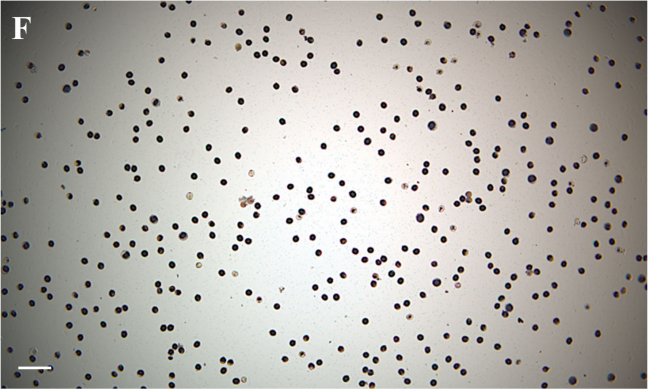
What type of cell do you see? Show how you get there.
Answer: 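Pollen. Numerous small, round, separate grains are spread across the field. Most grains are stained dark. Some grains are pale yellowish-brown.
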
